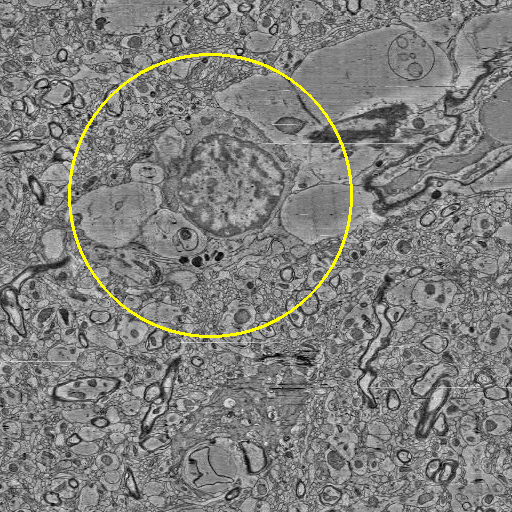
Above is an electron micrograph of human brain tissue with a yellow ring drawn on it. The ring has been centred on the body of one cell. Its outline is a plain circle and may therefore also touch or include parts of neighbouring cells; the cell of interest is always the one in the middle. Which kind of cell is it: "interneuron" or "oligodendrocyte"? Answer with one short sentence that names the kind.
The ring's central cell body is that of an oligodendrocyte.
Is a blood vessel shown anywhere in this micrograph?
Yes, one appears.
